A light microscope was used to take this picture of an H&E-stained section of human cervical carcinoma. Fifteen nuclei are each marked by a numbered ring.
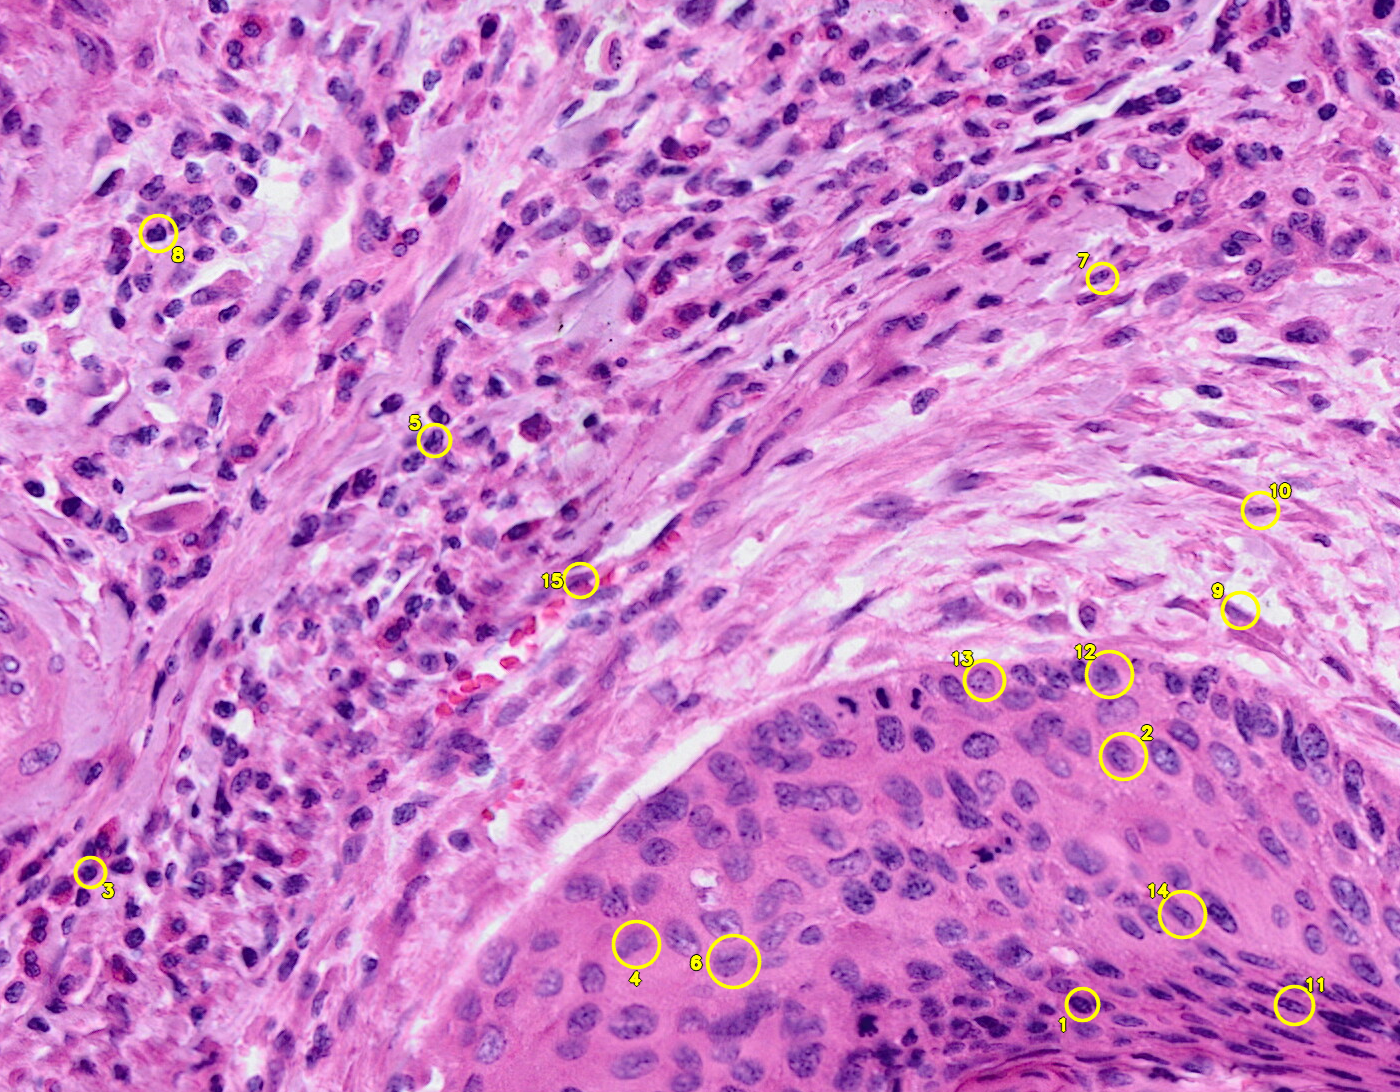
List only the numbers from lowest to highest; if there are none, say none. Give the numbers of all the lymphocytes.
3, 5, 8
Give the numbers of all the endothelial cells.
15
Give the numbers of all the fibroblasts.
7, 9, 10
